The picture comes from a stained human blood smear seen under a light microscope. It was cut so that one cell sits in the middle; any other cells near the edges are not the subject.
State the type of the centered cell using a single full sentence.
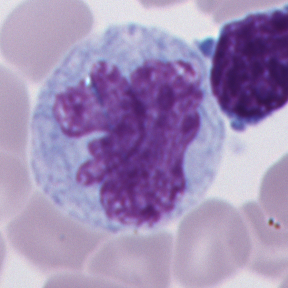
What the crop centres on is a monocyte.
